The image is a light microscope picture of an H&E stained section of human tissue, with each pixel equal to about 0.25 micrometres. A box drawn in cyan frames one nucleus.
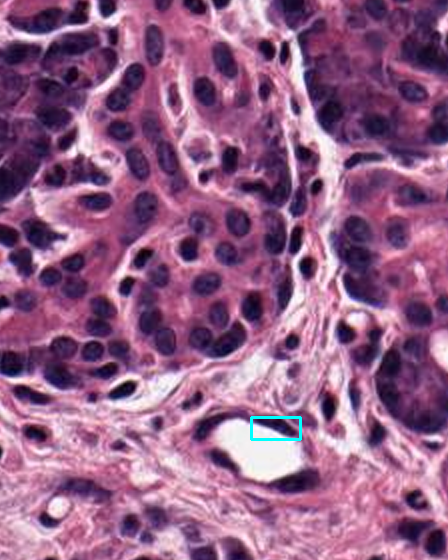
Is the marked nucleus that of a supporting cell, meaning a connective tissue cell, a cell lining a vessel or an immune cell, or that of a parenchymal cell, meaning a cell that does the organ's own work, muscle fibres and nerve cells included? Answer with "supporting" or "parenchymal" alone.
supporting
